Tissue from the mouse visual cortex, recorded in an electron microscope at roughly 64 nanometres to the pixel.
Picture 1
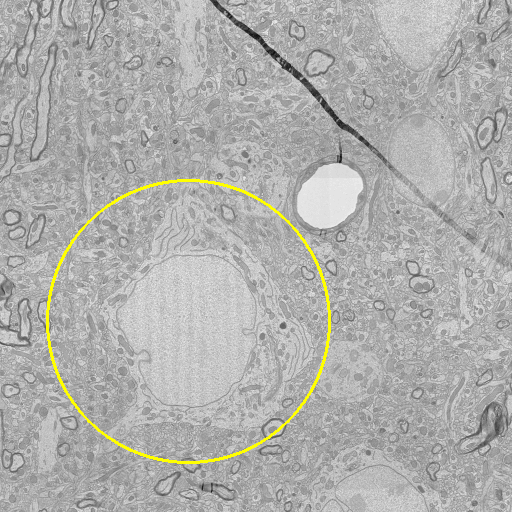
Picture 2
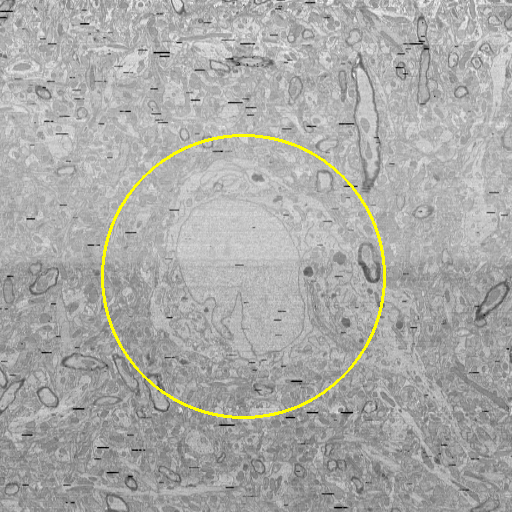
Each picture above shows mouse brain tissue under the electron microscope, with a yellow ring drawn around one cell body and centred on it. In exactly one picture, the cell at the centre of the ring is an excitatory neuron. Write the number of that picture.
1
